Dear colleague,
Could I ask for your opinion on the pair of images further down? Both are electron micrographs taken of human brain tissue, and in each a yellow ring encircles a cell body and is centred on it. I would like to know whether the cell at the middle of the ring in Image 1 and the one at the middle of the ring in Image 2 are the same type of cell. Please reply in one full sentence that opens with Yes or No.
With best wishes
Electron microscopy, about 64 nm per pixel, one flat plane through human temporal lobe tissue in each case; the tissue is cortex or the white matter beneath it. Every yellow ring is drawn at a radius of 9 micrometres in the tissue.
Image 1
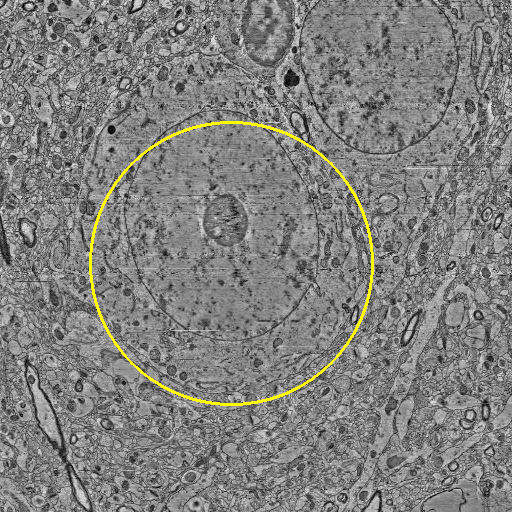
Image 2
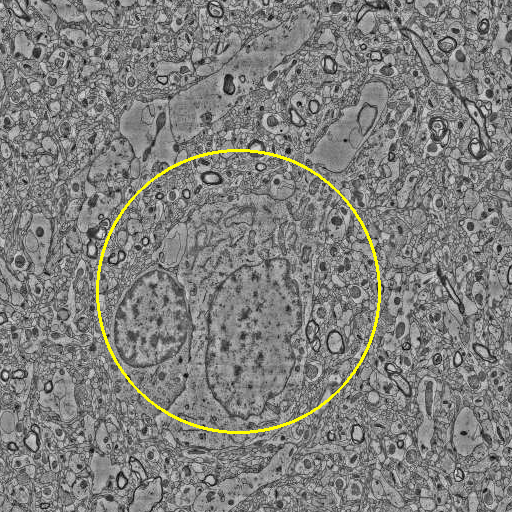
No, the cells at the ring centres in Image 1 and Image 2 are of two types.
